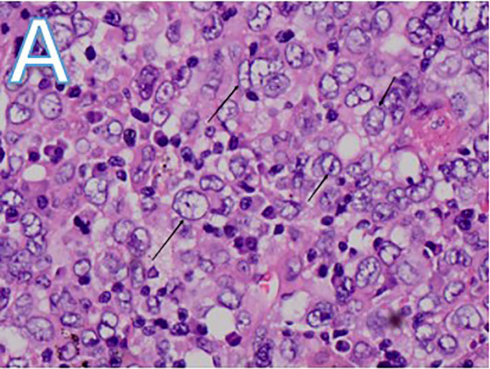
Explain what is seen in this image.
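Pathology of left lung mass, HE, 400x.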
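The cells have abundant pink to pale cytoplasm and lie closely packed without glandular or other orderly arrangement. Many nuclei are large and round to oval with pale, cleared chromatin and a sharp nuclear membrane, and some contain distinct nucleoli. Smaller, darker nuclei are scattered among them. Thin black lines point to several of the large pale nuclei. Small clear spaces are scattered through the field.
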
